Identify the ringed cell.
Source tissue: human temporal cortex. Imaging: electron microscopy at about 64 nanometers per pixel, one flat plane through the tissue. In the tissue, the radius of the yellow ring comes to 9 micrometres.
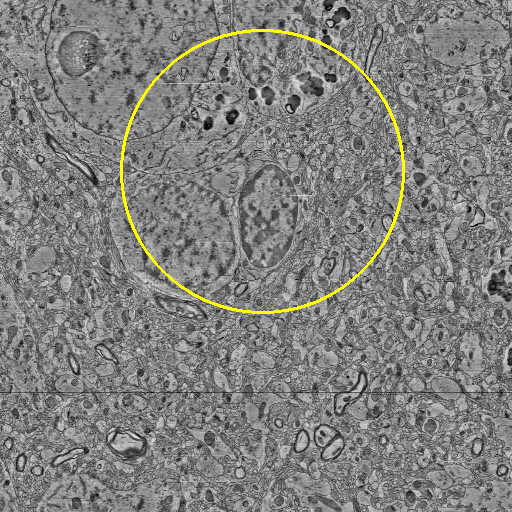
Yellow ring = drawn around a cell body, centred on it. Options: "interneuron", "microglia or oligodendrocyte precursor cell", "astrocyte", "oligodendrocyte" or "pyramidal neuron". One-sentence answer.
What the ring is centred on is a microglial cell or oligodendrocyte precursor cell.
